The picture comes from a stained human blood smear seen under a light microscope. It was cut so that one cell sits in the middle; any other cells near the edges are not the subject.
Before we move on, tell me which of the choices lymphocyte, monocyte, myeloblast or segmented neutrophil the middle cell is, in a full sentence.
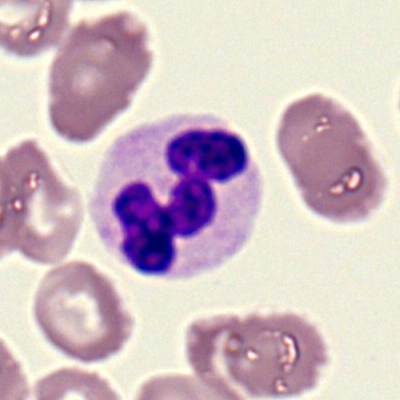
Of the cells in this crop, the central one is a segmented neutrophil.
